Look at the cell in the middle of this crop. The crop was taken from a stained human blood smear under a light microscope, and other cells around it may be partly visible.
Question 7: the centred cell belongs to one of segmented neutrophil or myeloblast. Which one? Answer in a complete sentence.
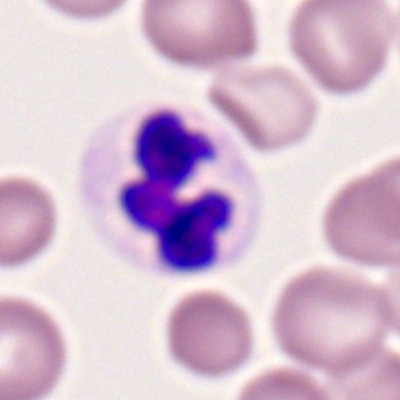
Classified as a segmented neutrophil is the cell in the middle of this crop.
